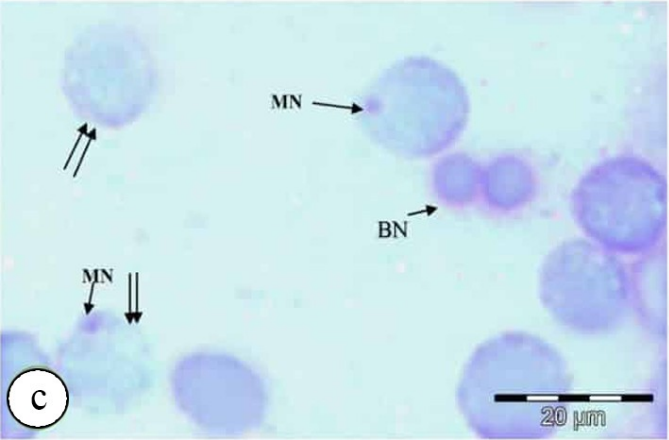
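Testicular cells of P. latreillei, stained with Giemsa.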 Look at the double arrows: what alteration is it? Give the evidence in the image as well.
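The cells marked by the double arrows stain pale and faintly granular. They lack the dense purple staining of the nearby intact cells. On this evidence: karyolysis.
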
